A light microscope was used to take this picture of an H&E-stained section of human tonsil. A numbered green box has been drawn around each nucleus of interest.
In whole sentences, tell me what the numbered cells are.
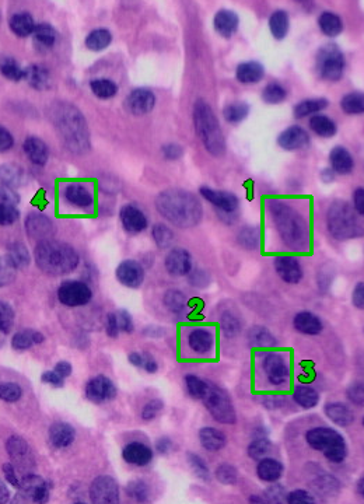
Cell 1 is a squamous epithelial cell. Cells 2, 3 and 4 are plasma cells.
